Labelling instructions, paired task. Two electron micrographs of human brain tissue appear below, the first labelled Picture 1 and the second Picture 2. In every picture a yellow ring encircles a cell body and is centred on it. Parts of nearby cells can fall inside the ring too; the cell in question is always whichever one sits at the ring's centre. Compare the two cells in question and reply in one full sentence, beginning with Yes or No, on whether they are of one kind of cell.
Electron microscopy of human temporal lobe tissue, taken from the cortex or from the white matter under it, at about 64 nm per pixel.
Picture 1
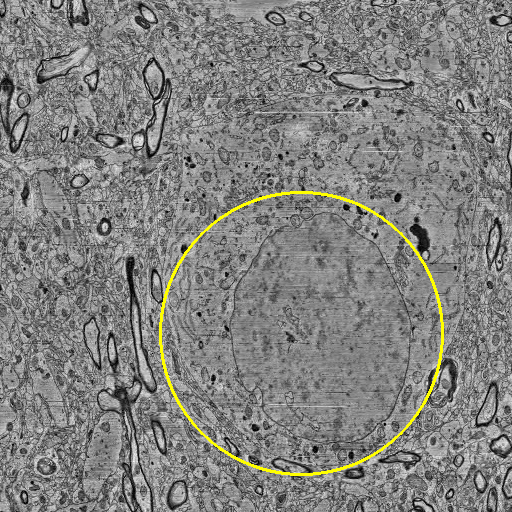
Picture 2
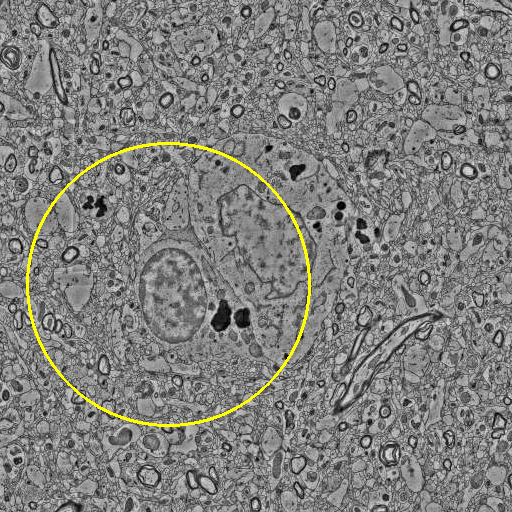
No, the two cells at the ring centres in Picture 1 and Picture 2 are of two kinds.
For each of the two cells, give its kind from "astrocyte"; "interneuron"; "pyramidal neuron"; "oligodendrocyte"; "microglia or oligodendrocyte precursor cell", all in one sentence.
The first picture has a pyramidal neuron in its ring, the second has an oligodendrocyte.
